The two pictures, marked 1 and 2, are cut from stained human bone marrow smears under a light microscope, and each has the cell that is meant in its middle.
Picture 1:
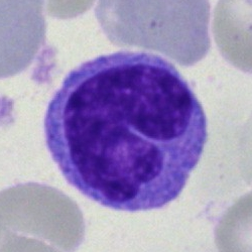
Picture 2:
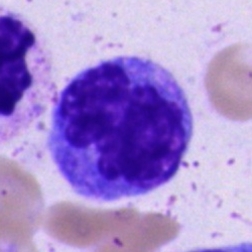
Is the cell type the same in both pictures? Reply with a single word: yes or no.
yes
